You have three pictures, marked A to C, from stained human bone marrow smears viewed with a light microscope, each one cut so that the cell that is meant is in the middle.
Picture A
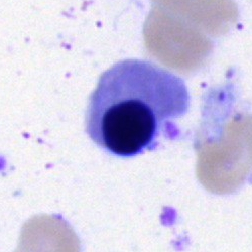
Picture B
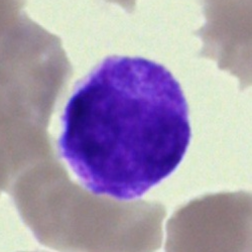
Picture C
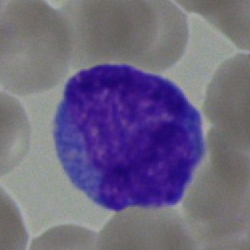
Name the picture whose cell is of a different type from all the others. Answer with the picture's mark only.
A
